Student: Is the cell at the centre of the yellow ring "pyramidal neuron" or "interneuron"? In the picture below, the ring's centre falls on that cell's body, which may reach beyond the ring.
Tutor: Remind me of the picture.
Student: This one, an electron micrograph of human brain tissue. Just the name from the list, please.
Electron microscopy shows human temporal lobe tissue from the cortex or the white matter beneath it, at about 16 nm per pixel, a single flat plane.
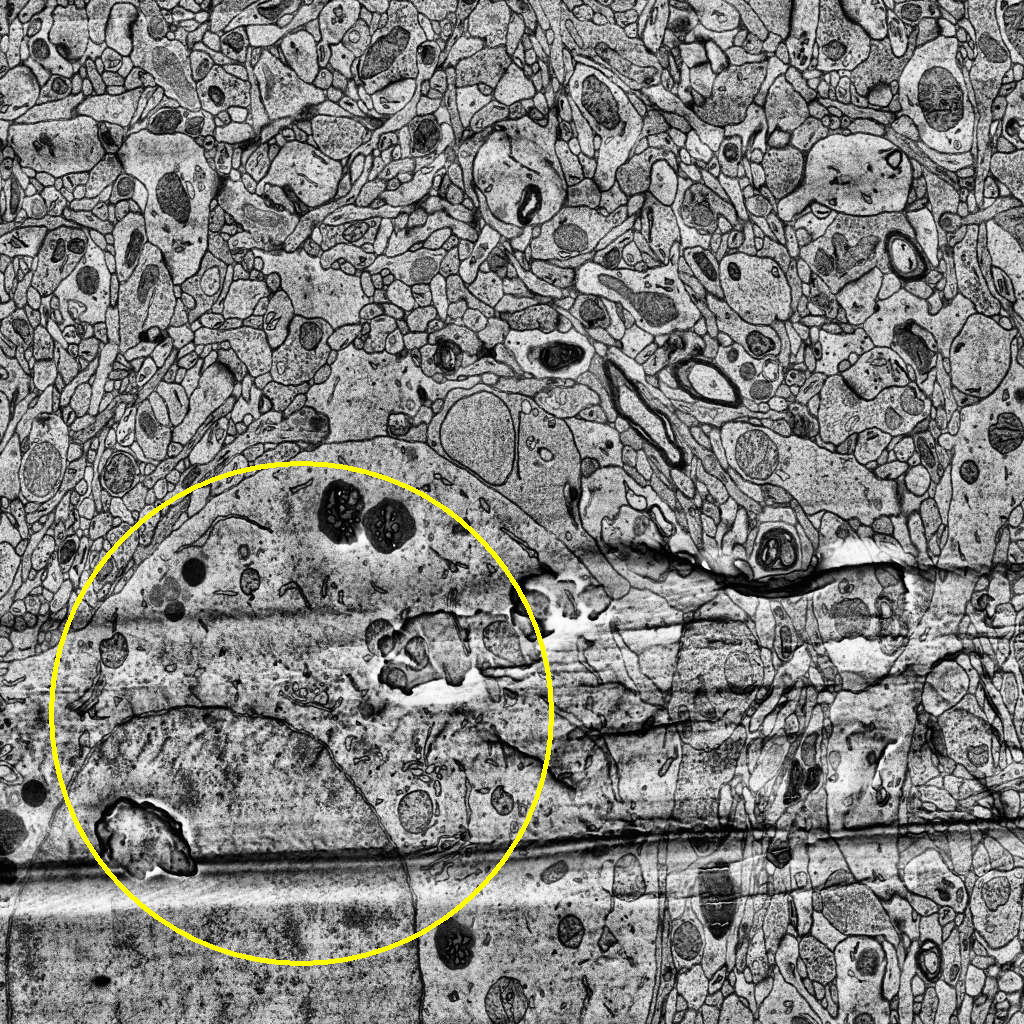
pyramidal neuron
